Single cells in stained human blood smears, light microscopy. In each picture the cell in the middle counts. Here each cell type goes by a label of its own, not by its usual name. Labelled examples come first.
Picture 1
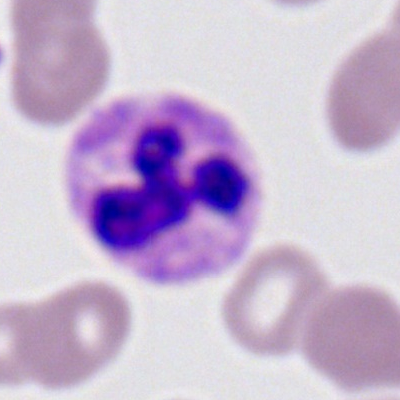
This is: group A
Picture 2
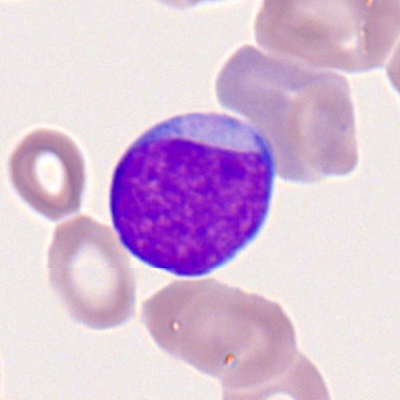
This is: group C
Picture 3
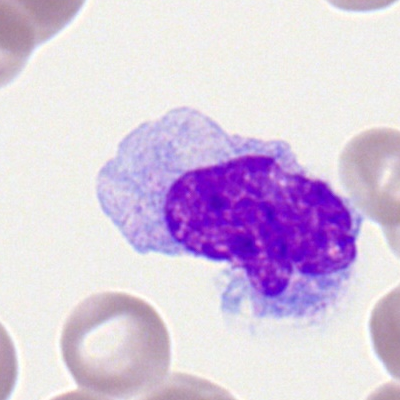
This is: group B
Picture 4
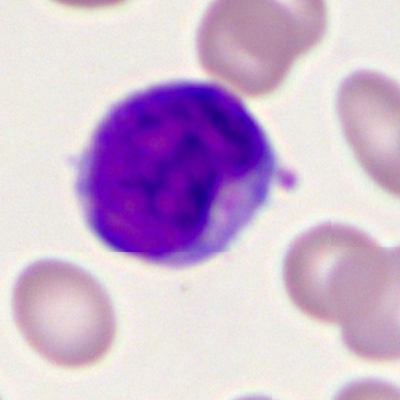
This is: group C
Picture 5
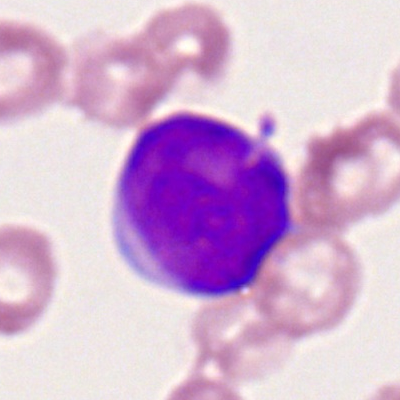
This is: group C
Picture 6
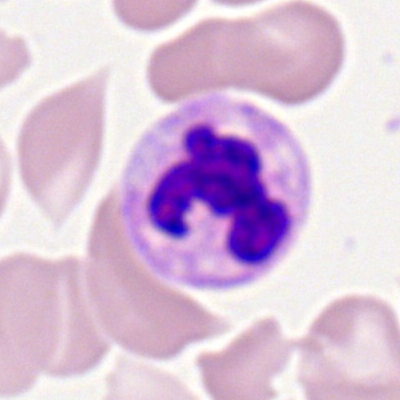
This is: group A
